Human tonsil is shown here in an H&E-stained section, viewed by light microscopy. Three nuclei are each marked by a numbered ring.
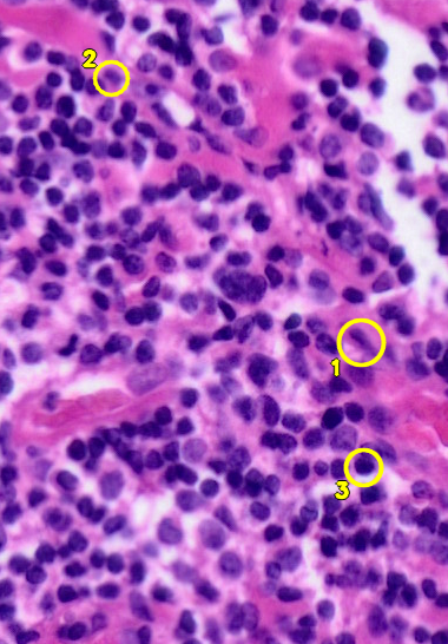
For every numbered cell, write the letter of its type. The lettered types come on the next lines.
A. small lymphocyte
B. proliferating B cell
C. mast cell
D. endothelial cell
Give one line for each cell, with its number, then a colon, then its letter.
1: D
2: D
3: A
